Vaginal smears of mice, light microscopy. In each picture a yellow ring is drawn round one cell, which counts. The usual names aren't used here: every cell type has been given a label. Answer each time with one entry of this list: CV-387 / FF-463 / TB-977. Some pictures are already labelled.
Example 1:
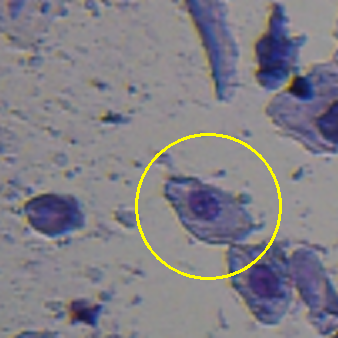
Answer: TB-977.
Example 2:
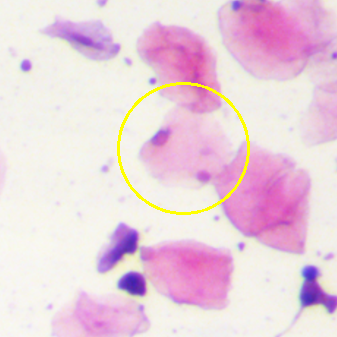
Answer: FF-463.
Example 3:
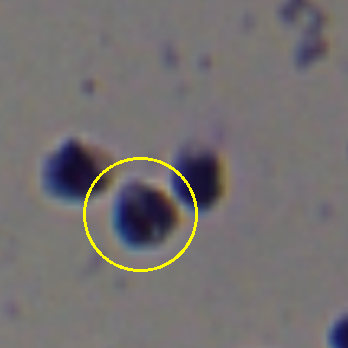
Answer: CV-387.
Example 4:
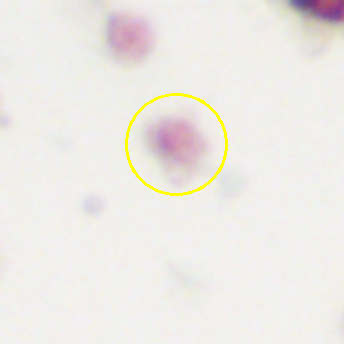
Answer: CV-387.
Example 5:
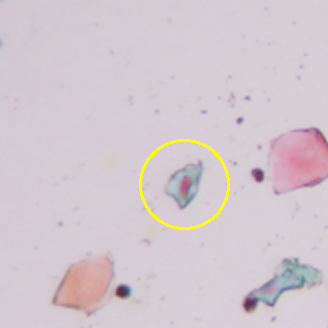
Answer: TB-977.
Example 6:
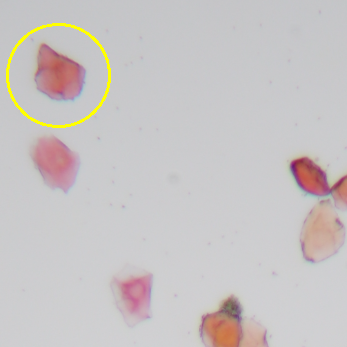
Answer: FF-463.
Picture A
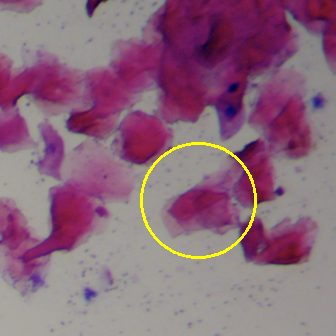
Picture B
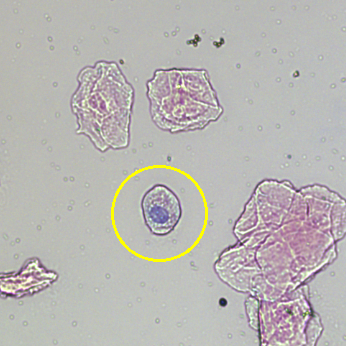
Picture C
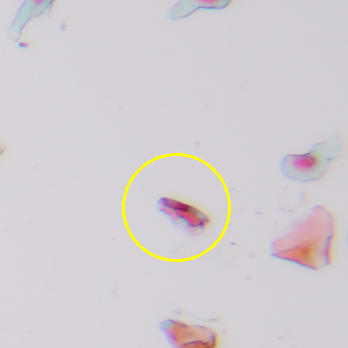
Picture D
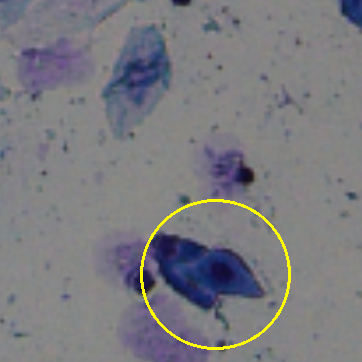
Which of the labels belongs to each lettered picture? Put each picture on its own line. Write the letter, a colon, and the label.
A: FF-463.
B: TB-977.
C: FF-463.
D: TB-977.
